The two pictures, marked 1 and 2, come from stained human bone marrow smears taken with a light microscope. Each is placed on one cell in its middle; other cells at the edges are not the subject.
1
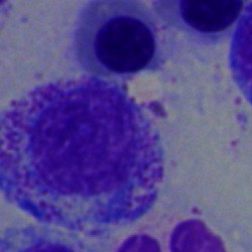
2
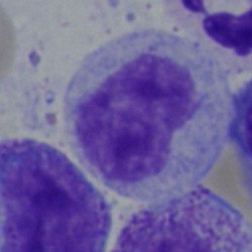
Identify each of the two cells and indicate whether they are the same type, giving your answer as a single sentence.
Yes, the cells of interest in both crops are myelocytes.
